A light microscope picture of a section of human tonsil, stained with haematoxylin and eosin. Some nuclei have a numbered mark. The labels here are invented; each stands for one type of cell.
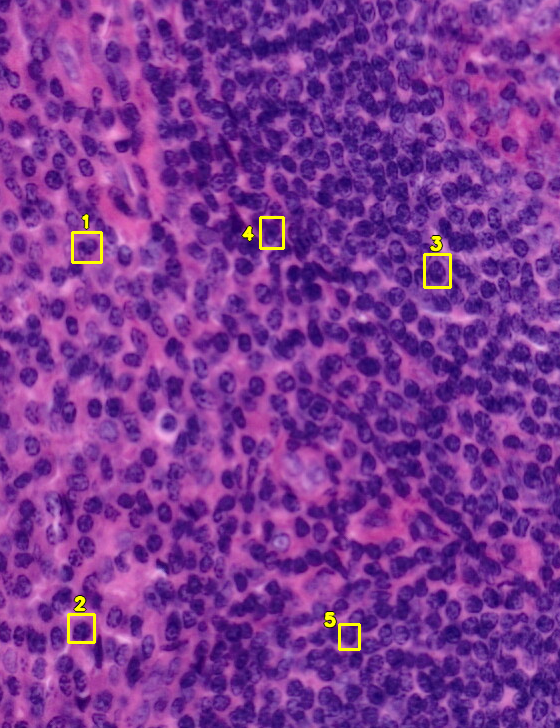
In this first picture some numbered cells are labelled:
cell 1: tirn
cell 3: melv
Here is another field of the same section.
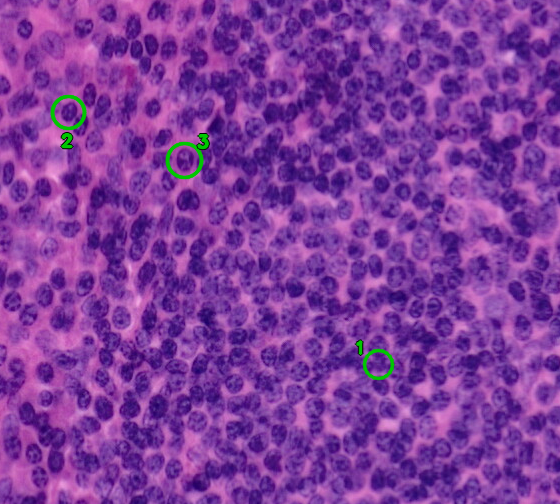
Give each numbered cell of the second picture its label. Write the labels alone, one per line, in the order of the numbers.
melv
tirn
tirn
